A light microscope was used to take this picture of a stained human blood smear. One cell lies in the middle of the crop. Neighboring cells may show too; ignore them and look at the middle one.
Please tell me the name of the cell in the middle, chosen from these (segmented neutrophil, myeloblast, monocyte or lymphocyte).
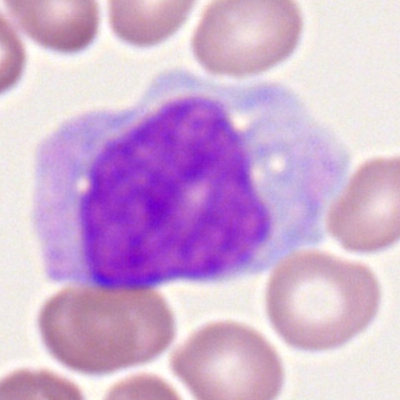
monocyte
